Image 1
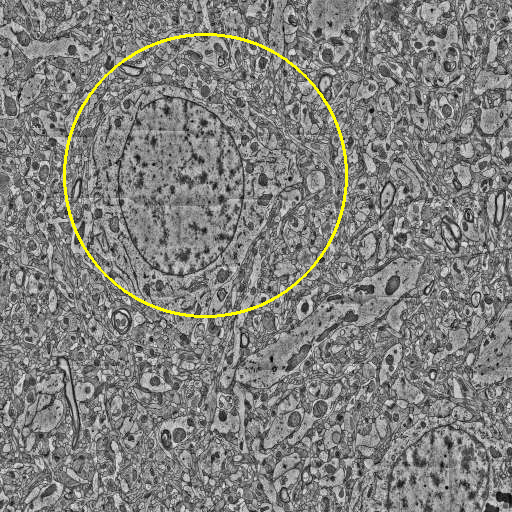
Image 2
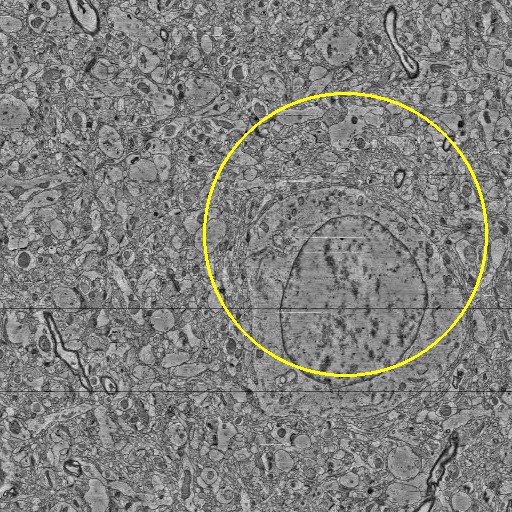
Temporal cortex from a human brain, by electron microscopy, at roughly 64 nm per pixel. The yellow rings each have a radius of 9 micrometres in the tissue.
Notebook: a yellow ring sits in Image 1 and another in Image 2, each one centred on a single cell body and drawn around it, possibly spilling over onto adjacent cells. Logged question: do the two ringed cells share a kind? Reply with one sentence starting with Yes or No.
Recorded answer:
Yes, both centre cells inside the rings of Image 1 and Image 2 share one kind.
